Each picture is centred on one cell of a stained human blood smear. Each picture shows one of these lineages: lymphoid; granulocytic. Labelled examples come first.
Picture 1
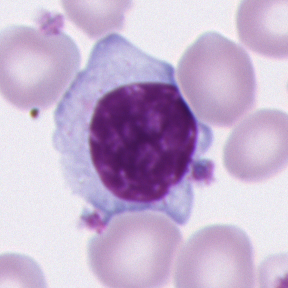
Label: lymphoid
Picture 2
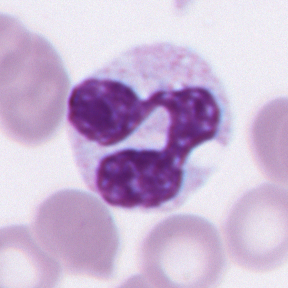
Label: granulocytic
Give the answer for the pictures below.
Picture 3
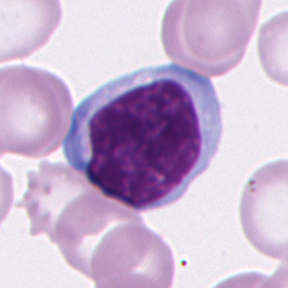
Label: lymphoid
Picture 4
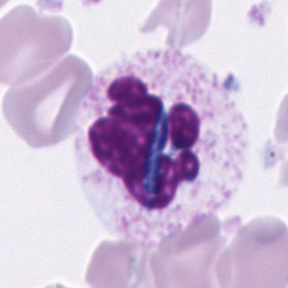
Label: granulocytic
